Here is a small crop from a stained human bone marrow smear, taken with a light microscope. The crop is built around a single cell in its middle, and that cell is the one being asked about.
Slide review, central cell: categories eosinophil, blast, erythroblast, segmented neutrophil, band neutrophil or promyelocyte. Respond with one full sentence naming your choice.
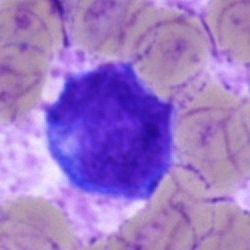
The centered cell in this crop is a blast.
